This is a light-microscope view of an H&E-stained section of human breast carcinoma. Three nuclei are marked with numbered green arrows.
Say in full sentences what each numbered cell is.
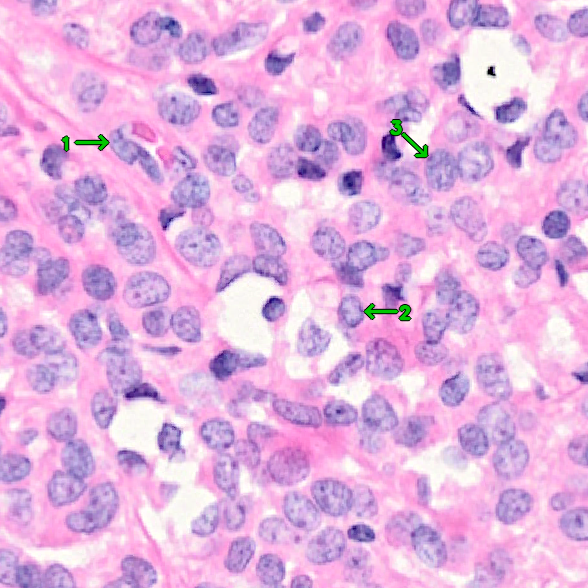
Cell 1 is an endothelial cell. Cells 2 and 3 are carcinoma cells.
